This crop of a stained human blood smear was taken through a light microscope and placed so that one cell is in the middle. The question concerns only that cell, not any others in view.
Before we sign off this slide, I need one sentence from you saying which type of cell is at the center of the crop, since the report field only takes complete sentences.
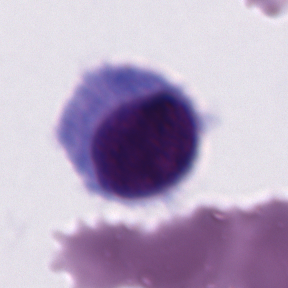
The crop shows a hairy cell in its centre.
